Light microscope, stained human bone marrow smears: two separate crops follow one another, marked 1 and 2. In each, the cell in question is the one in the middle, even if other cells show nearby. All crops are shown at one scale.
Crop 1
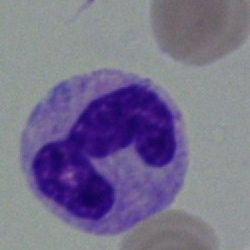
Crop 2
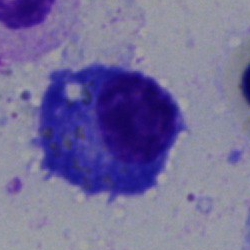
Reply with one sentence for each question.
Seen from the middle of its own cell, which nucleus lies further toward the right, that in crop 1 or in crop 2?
Seen within its cell, the nucleus in crop 2 lies further toward the right.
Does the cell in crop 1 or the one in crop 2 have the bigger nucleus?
The nucleus in crop 1 is larger, with about 2 times the area of the one in crop 2.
